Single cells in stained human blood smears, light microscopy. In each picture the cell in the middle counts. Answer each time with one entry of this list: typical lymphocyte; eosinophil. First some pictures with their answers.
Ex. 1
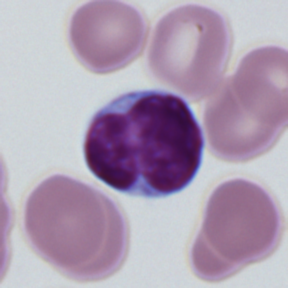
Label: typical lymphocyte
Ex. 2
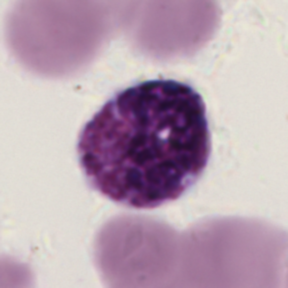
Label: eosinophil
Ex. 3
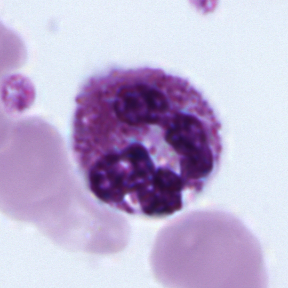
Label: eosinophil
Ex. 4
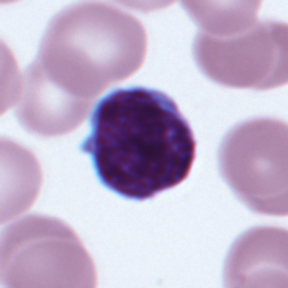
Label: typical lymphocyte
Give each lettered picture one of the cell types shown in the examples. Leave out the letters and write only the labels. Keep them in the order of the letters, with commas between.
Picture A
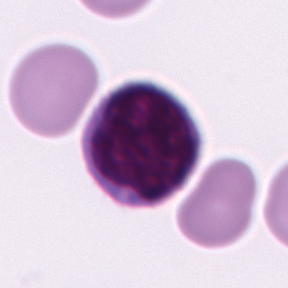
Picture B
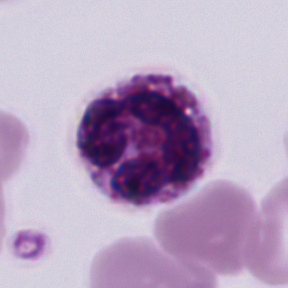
typical lymphocyte, eosinophil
